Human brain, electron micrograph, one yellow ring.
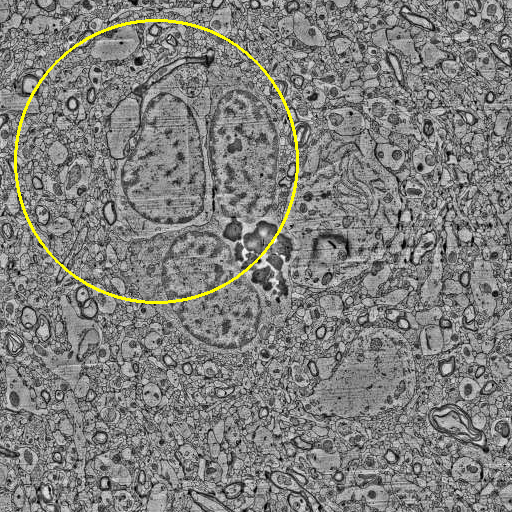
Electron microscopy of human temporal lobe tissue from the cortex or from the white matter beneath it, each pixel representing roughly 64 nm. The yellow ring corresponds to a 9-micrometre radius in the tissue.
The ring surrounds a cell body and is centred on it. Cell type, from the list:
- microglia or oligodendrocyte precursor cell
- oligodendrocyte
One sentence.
The yellow ring circles a microglial cell or oligodendrocyte precursor cell.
